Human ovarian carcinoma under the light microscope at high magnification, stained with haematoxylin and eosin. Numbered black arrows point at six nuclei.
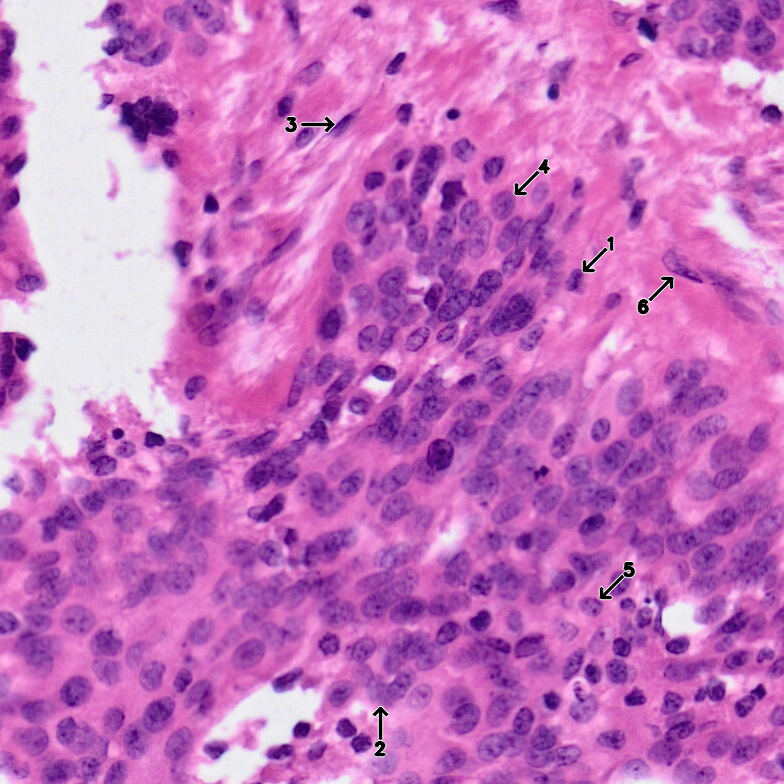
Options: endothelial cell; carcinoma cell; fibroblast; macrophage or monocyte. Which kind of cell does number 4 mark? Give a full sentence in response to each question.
Identified by the number 4, the cell is a carcinoma cell.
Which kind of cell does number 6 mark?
The identity of cell 6 is that of a fibroblast.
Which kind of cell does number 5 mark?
Cell 5 is classified as a macrophage or monocyte.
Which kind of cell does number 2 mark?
Denoted by the label 2 in the section is a carcinoma cell.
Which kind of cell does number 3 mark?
In this section, the cell numbered 3 is a fibroblast.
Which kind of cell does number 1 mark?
Cell 1 is classified as a macrophage or monocyte.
